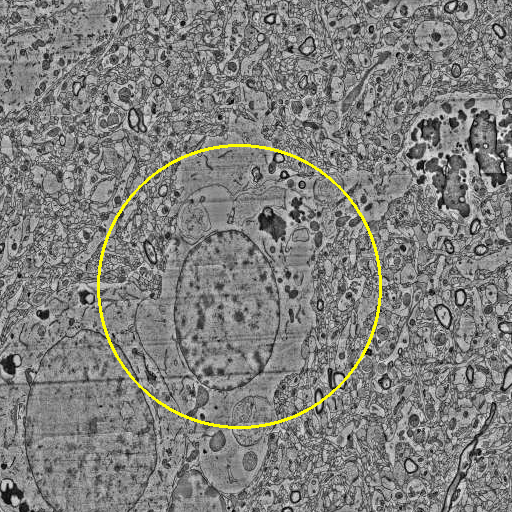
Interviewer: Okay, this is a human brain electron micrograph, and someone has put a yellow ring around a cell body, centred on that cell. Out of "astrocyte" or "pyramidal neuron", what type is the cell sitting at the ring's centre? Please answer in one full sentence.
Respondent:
The cell at the centre of the yellow ring in this picture is an astrocyte.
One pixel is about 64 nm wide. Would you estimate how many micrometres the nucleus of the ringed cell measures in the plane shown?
Roughly 10 micrometres by 7 micrometres, so the nucleus is clearly longer than it is wide in this plane.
